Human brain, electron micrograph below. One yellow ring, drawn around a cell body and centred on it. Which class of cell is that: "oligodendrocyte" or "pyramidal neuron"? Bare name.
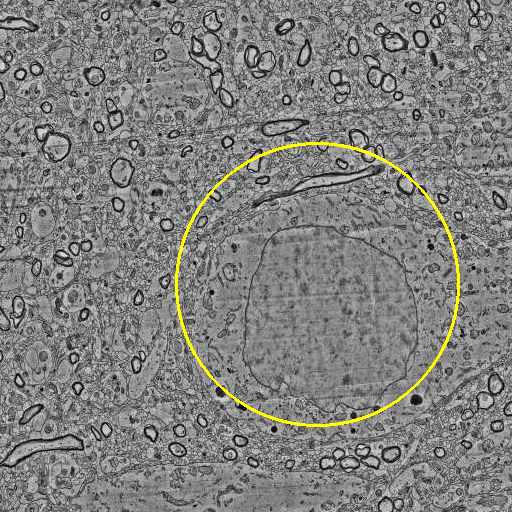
pyramidal neuron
